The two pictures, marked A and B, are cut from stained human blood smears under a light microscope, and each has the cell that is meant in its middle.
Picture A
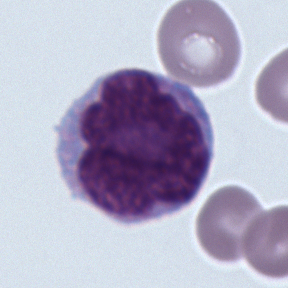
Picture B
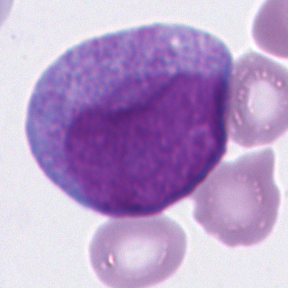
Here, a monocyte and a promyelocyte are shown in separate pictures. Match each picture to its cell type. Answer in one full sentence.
Picture A shows a monocyte and picture B shows a promyelocyte.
